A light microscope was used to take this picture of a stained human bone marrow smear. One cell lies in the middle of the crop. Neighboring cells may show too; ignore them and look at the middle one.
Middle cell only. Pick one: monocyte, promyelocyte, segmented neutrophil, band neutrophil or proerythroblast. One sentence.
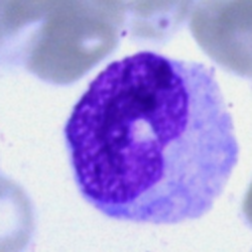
In short, the cell at the center is a monocyte.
